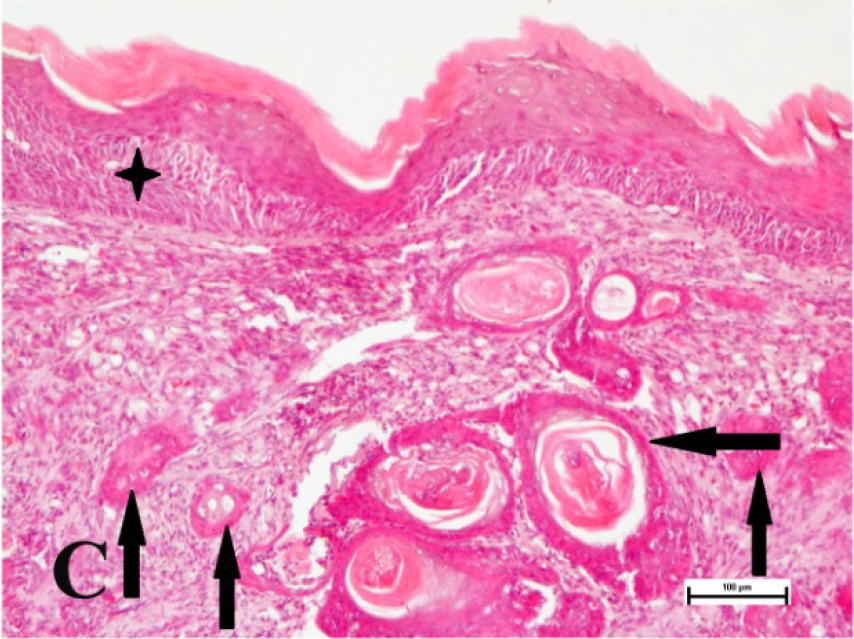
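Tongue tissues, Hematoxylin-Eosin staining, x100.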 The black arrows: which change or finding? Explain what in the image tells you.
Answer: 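Tumoral areas. Nests of squamous epithelial cells lie within the connective tissue below the surface epithelium. Several nests have concentric pink keratin cores.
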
